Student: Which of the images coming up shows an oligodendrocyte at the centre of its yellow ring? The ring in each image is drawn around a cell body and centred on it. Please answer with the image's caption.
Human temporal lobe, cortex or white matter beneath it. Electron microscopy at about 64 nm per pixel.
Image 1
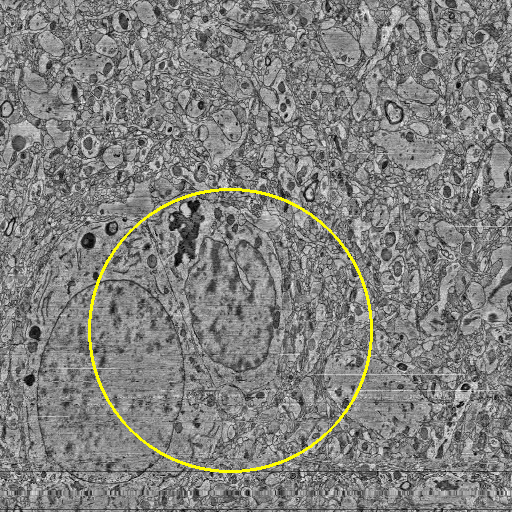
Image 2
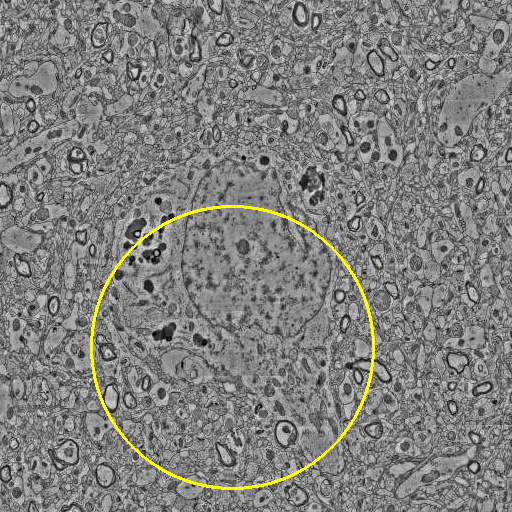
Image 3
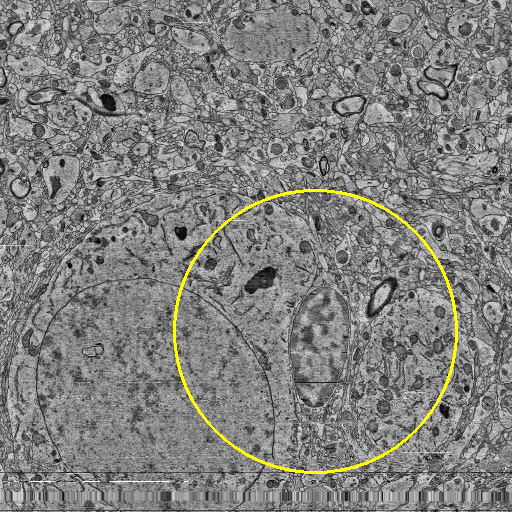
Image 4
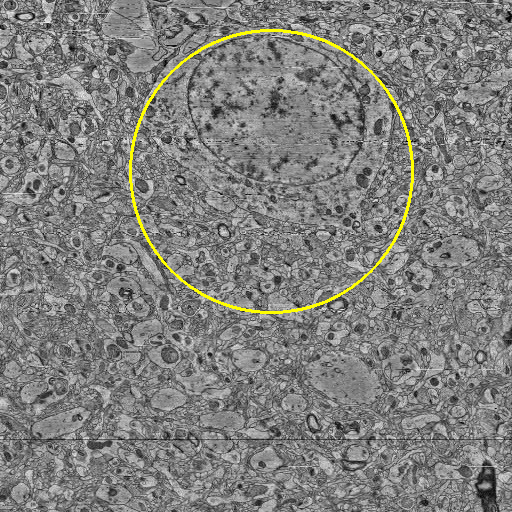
Image 2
